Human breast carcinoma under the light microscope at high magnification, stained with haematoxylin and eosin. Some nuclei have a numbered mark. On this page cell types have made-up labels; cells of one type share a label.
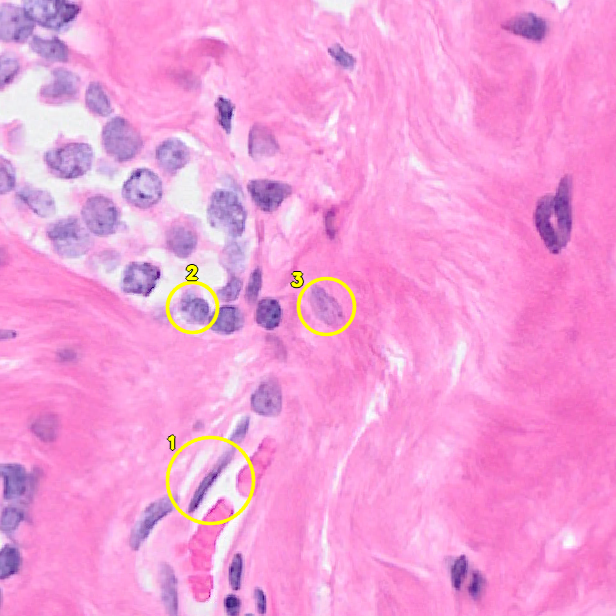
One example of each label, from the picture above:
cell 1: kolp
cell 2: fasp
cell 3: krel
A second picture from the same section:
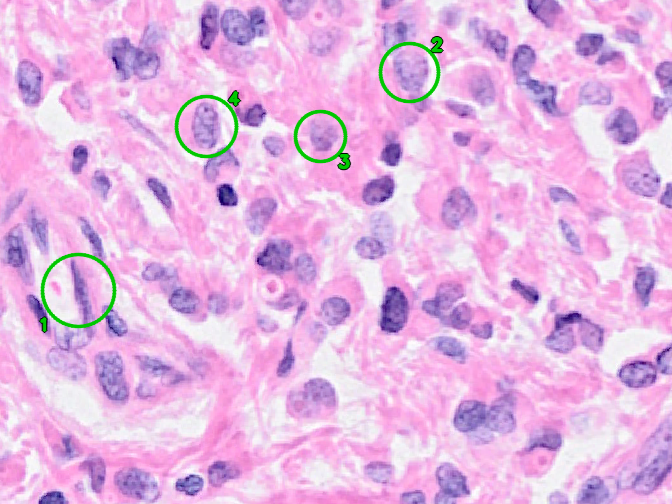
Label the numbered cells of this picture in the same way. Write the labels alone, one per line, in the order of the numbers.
kolp
fasp
krel
fasp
